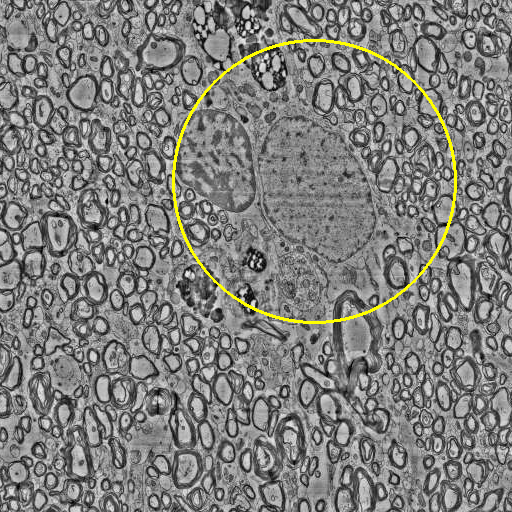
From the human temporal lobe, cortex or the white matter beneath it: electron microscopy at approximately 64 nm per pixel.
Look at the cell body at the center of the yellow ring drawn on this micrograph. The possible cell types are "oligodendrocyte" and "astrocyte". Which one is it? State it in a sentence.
The cell in the middle of the ring is an astrocyte.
